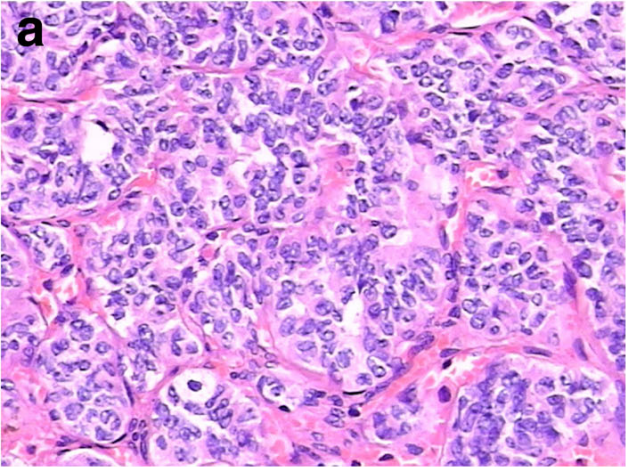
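This tumor consists of small round blue cells packed in sheets and nests that are separated by thin pink fibrovascular septa. The cells are closely crowded, with oval to round, dark purple hyperchromatic nuclei that vary somewhat in size and shape. Between the cells there are pale pink, wispy areas of matrix, and a few small clear spaces lie within the nests. Small blood vessels with red cells run along some of the septa.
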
